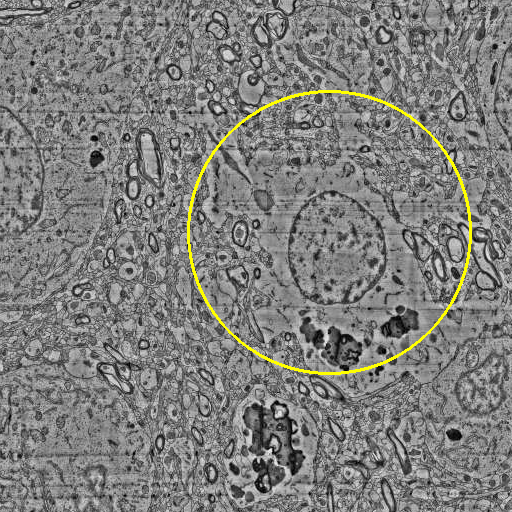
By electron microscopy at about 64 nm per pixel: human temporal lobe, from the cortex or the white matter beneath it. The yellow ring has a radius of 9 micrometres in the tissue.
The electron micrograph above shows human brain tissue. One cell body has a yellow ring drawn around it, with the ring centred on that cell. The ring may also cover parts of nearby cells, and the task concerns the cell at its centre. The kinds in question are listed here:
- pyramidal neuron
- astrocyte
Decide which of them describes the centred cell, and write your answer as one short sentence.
The centred cell is an astrocyte.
